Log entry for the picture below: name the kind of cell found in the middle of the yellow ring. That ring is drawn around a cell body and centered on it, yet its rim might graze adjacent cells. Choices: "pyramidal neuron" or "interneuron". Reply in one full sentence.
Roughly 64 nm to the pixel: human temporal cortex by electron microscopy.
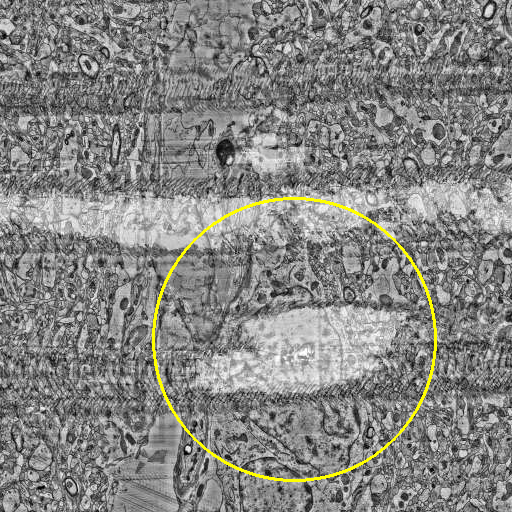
The cell in the middle of the yellow ring in this picture is an interneuron.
